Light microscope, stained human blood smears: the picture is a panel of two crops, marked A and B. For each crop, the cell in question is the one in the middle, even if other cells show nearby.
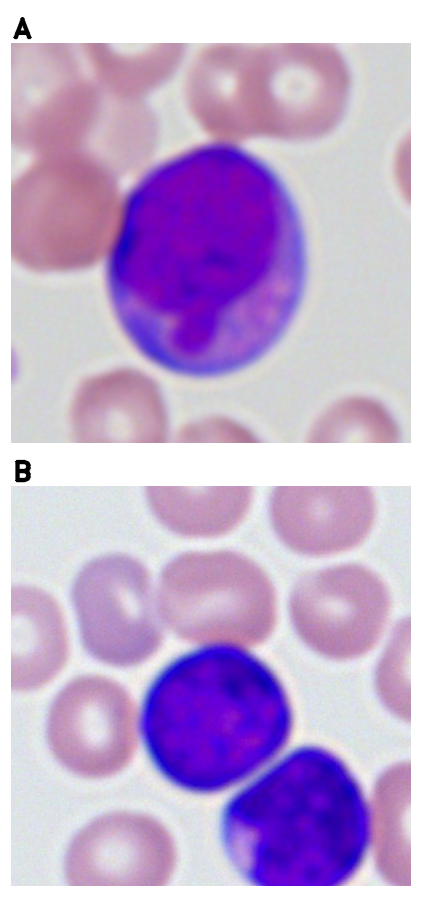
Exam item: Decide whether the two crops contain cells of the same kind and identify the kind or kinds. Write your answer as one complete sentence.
Yes, the cells under consideration in both crops are myeloblasts.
